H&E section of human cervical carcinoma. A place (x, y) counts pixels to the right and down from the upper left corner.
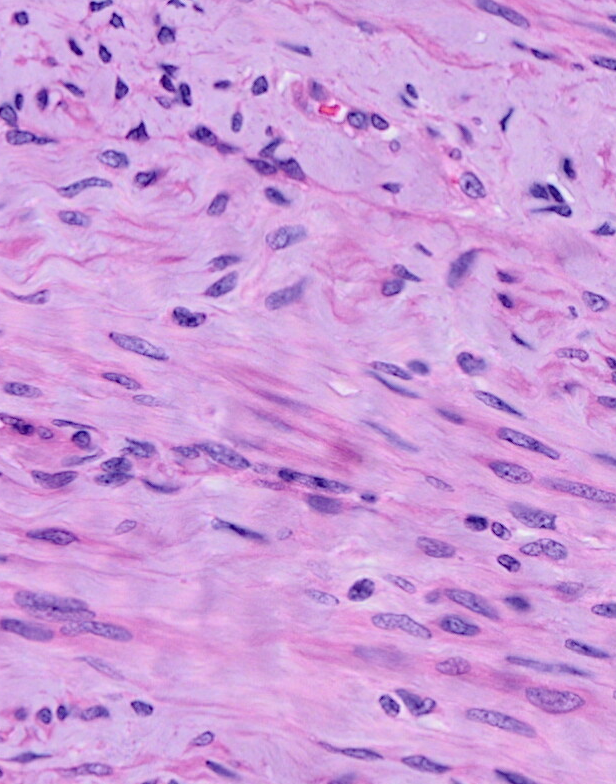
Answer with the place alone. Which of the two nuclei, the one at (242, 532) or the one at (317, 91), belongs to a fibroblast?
(242, 532)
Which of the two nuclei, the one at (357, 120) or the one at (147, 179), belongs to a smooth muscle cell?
(147, 179)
